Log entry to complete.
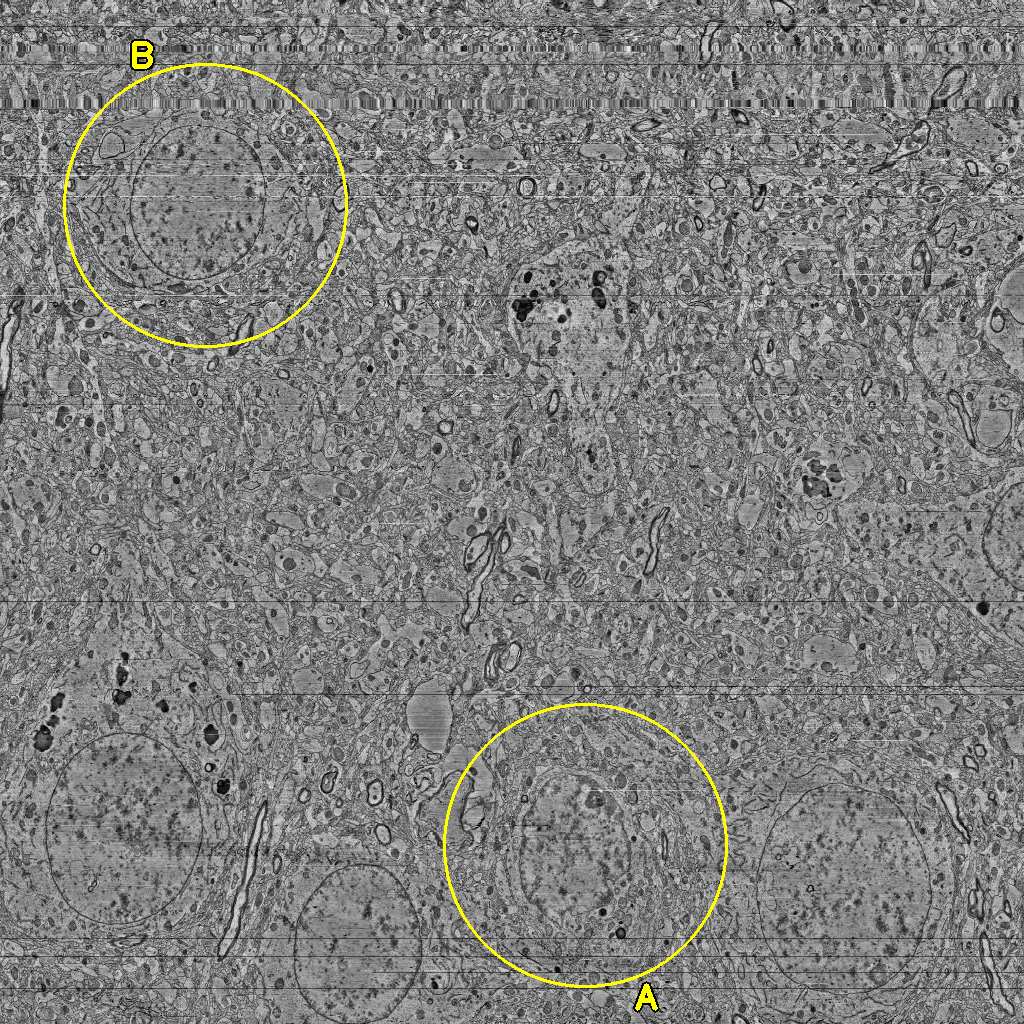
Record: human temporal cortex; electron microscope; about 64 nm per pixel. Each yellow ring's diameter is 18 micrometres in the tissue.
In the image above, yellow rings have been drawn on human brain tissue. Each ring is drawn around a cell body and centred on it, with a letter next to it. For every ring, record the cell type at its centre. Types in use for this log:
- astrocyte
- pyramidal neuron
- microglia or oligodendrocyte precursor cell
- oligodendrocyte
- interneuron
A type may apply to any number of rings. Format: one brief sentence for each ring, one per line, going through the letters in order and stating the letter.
In ring A, the centred cell is an interneuron.
In ring B, the centred cell is a pyramidal neuron.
